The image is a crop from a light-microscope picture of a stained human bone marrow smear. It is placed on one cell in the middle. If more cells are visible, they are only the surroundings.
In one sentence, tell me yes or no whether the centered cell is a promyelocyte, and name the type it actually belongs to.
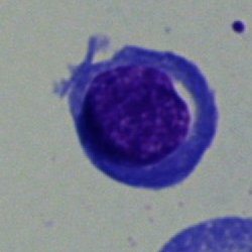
No, the central cell in this crop is a plasma cell and not a promyelocyte.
